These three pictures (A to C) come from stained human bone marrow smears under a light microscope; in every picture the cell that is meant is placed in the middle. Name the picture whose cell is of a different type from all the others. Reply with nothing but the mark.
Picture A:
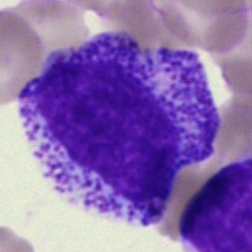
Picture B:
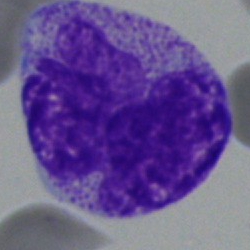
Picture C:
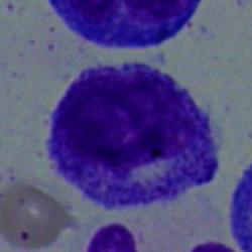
B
